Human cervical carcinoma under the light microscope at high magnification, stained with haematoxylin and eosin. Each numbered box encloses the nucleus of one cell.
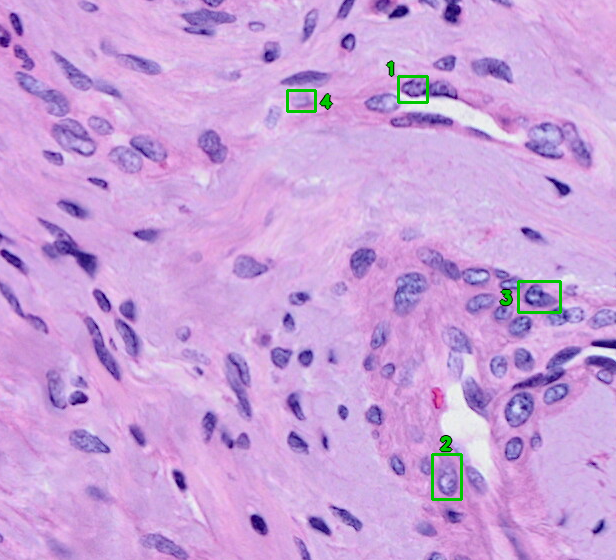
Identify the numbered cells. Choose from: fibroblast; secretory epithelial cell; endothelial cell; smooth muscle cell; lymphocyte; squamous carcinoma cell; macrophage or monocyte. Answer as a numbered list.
1. endothelial cell
2. smooth muscle cell
3. smooth muscle cell
4. smooth muscle cell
